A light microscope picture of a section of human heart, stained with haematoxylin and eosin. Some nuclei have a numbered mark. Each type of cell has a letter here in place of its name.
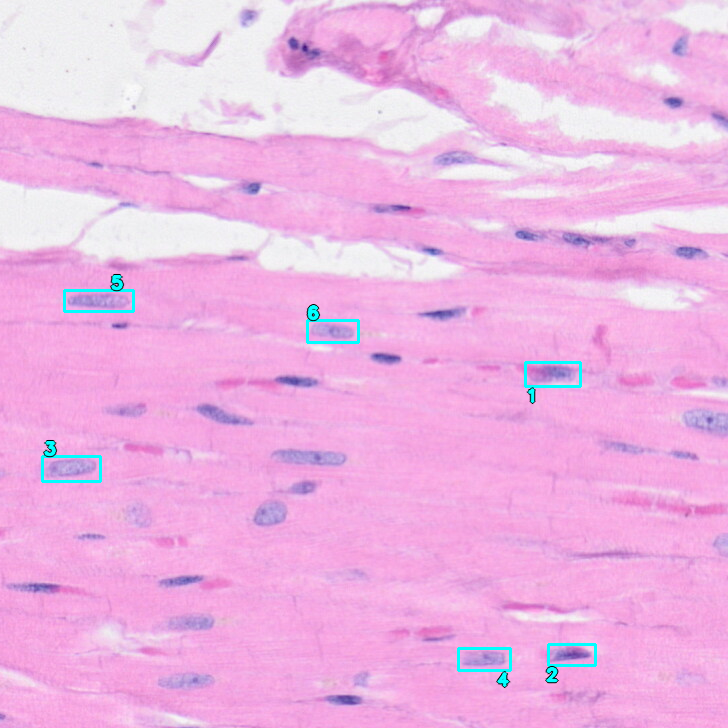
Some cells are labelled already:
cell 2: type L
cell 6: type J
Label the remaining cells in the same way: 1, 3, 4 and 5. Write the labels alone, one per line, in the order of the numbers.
type L
type J
type J
type J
